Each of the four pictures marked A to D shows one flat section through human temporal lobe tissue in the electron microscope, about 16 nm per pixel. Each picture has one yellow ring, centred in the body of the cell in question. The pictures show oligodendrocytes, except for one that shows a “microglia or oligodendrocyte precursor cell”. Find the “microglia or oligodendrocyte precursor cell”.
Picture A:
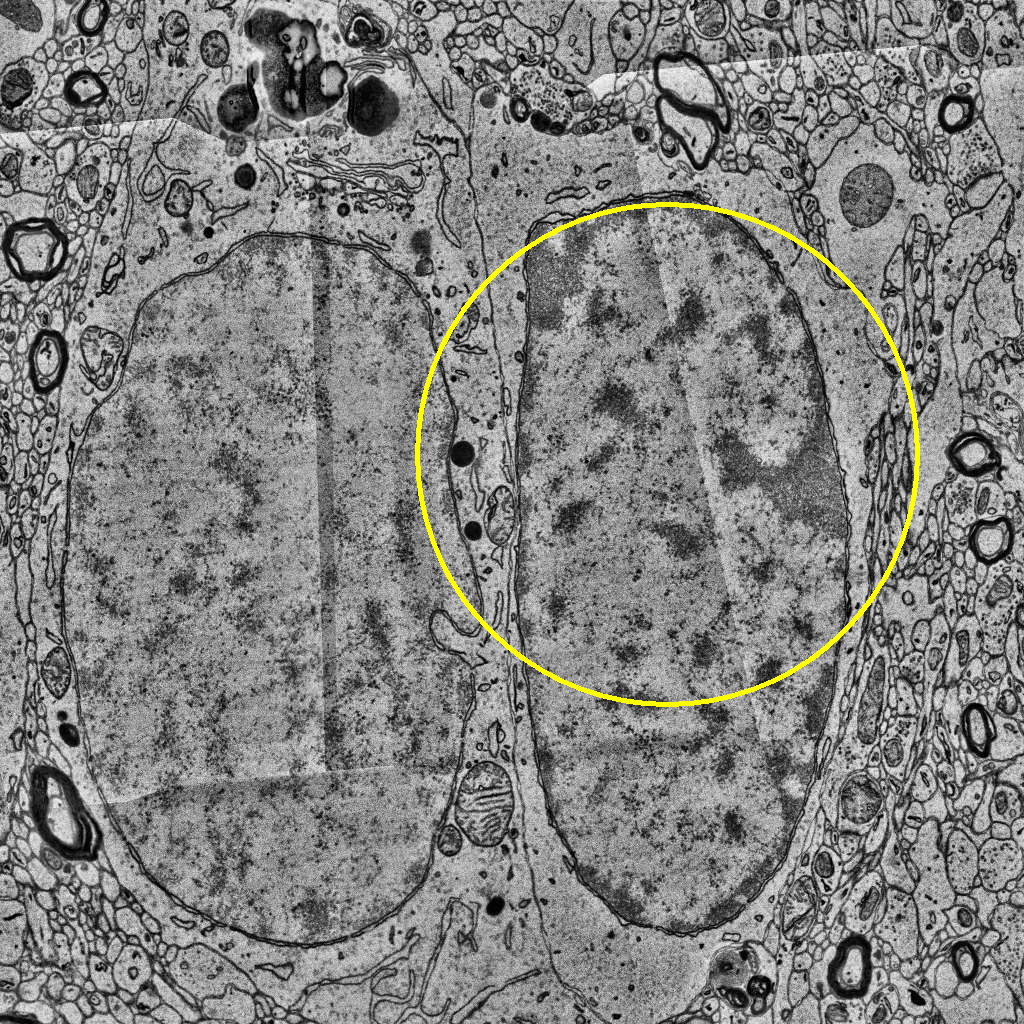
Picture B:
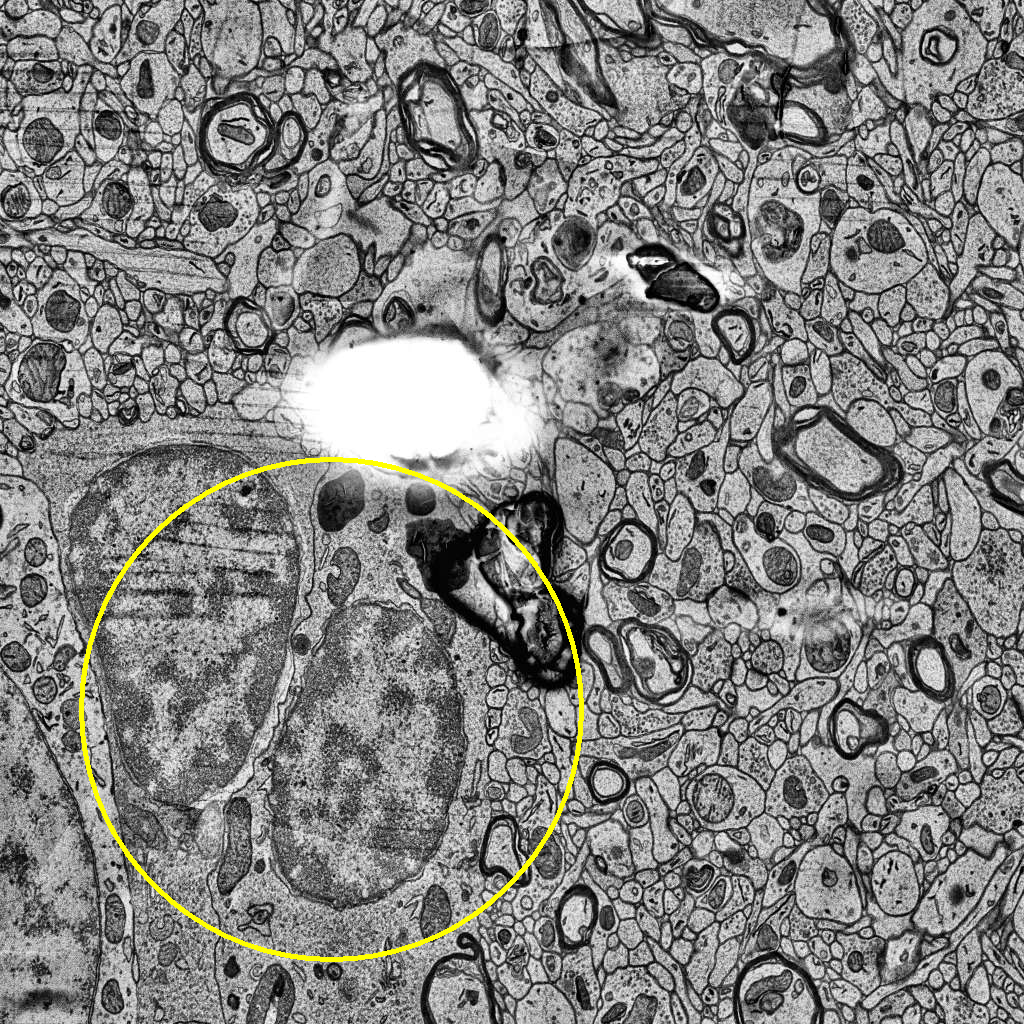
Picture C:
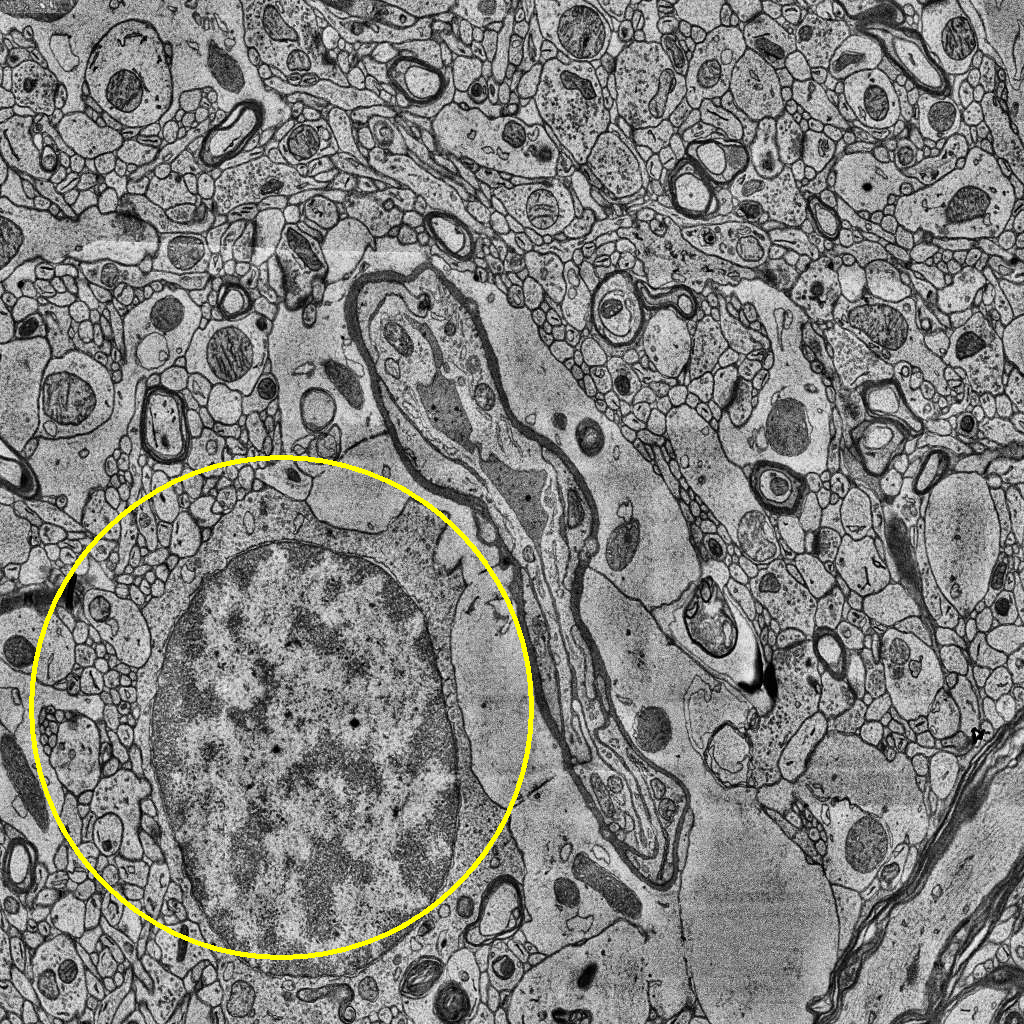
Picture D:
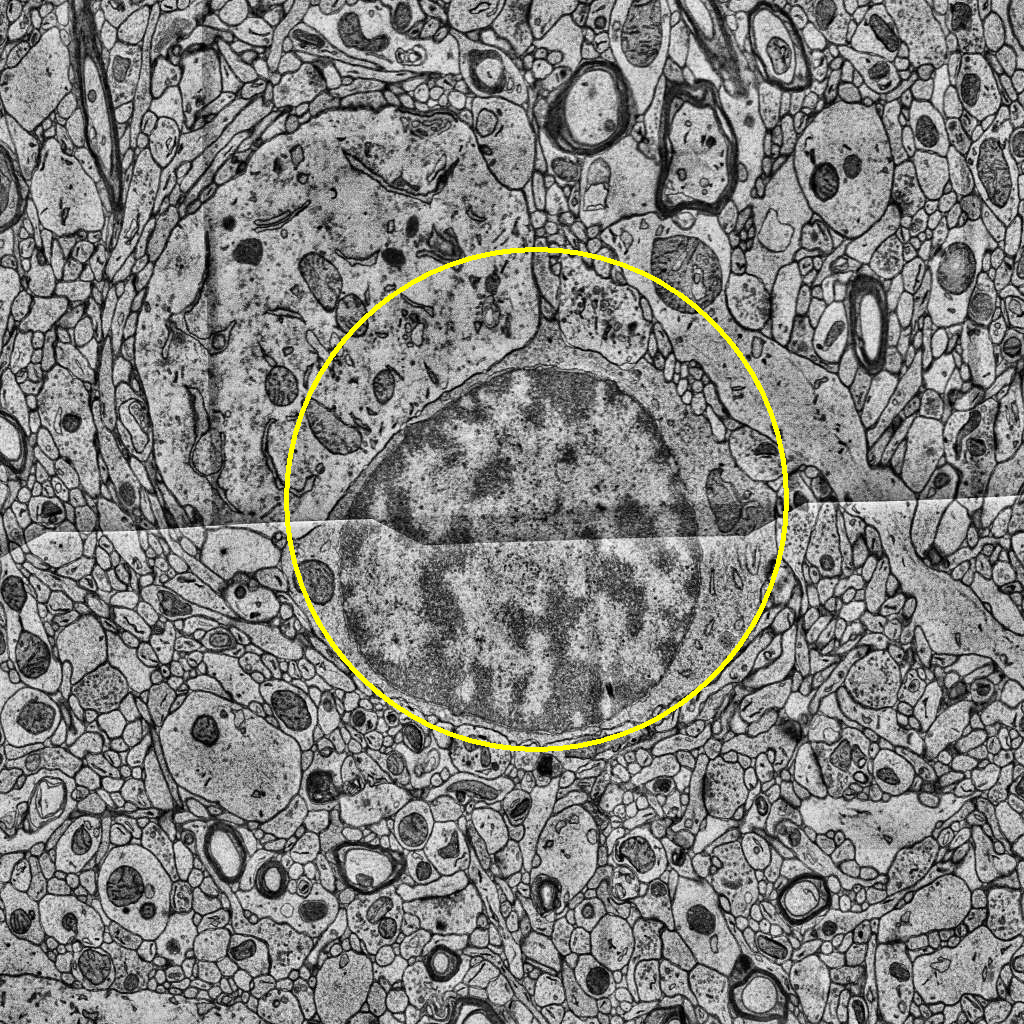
The picture with the “microglia or oligodendrocyte precursor cell” is A.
